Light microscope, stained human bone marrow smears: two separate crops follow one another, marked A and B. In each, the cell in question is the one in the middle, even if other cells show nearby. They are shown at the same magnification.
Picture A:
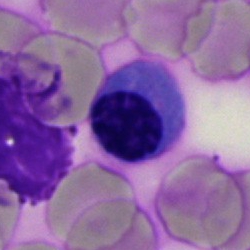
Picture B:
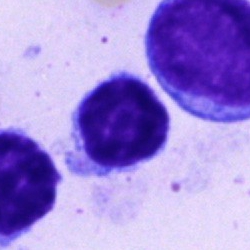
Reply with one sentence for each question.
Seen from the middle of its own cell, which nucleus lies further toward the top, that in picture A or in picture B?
It is the nucleus in picture B that lies further toward the top of its cell.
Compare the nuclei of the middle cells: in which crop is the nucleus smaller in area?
It is the nucleus in picture A; the one in picture B has about 1.5 times its area.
